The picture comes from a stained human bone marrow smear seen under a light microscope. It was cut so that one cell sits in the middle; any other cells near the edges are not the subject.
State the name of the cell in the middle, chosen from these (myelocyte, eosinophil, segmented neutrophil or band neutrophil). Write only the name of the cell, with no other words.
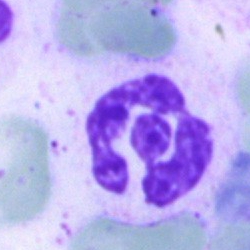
segmented neutrophil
